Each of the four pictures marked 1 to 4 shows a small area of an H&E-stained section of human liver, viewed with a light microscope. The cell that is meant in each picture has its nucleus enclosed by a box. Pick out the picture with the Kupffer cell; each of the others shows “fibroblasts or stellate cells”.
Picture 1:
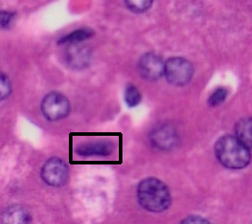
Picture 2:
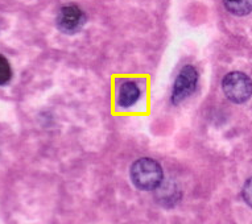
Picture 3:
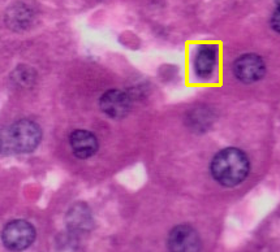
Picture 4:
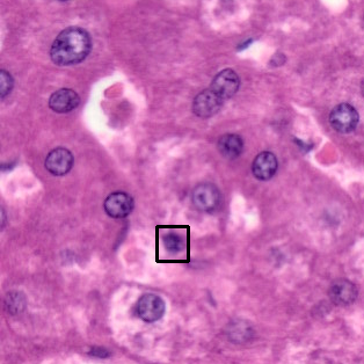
3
